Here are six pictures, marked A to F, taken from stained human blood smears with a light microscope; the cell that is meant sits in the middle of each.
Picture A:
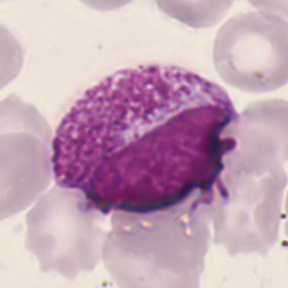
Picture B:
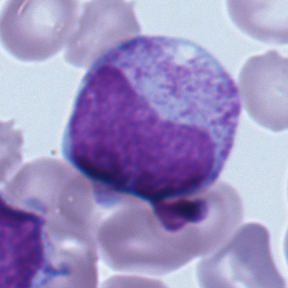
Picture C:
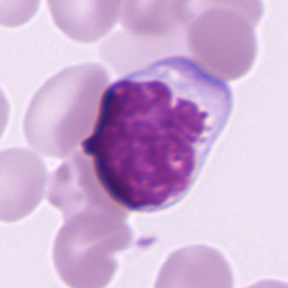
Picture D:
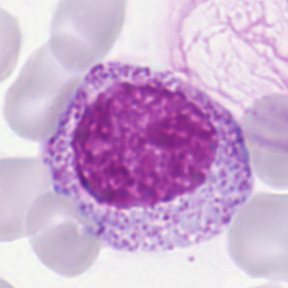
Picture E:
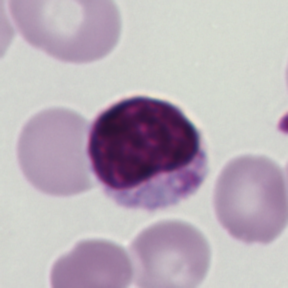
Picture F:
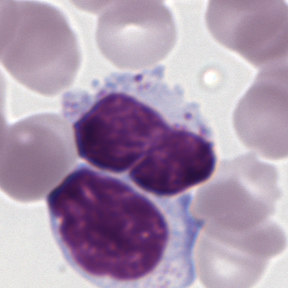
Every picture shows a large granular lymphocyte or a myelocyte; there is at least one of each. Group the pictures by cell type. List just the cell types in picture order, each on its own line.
myelocyte
myelocyte
large granular lymphocyte
myelocyte
large granular lymphocyte
large granular lymphocyte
